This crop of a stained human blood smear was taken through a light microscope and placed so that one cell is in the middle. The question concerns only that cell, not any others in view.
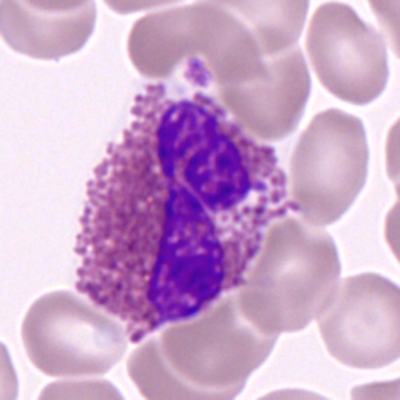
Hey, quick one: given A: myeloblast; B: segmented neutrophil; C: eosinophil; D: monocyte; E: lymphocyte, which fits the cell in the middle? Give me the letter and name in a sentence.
For this crop, option C is right, the centered cell being an eosinophil.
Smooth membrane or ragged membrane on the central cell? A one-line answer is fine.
The cell margin is rough and uneven, either ragged or drawn into projections.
